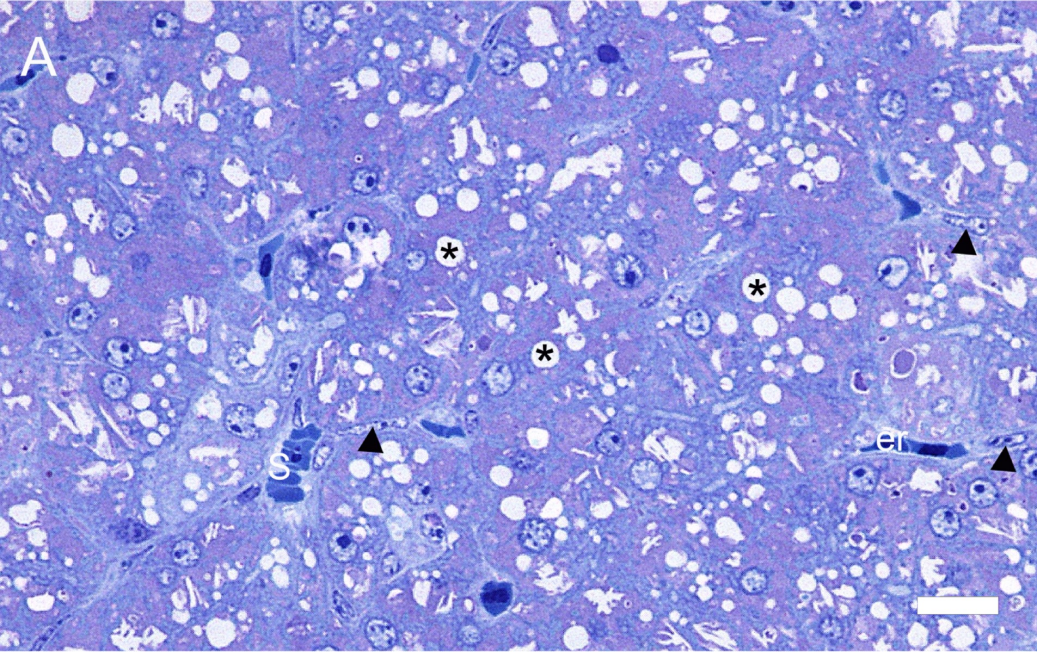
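A semi-thin section of liver shows large polygonal liver cells with round, pale nuclei, each with a distinct dark nucleolus, set in a purple-blue cytoplasm. The cytoplasm of nearly every cell is crowded with round, sharply bounded clear vacuoles of many sizes, the lipid droplets, along with irregular clear clefts. Between the groups of cells run narrow sinusoids lined by thin, flattened endothelial cells. Some sinusoids hold elongated, intensely dark blue erythrocytes.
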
